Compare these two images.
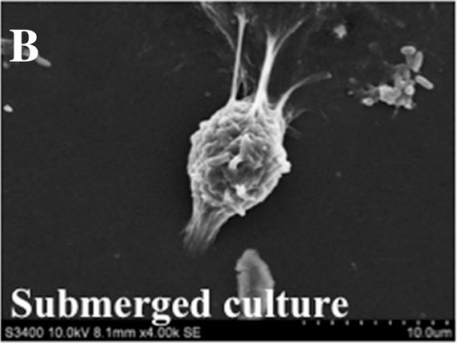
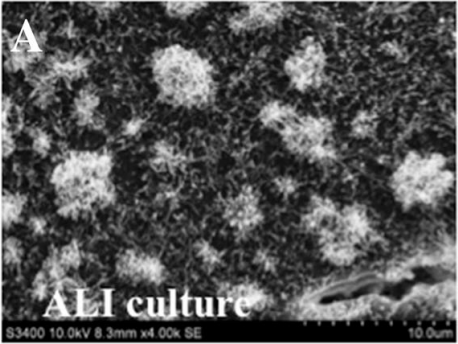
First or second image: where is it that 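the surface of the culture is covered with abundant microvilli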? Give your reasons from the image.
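Second image: the whole field is carpeted with dense slender projections between tufted cell clusters.
Answer: the second image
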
